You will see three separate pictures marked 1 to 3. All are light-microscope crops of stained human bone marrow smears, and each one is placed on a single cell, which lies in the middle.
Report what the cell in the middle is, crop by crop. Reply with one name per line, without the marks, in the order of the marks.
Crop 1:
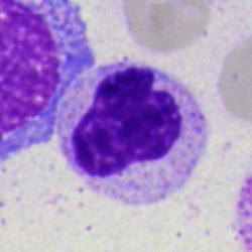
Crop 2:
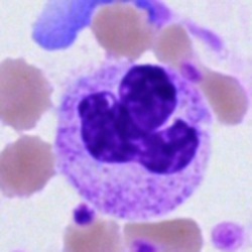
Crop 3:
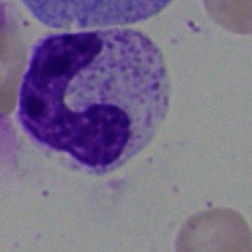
band neutrophil
segmented neutrophil
band neutrophil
